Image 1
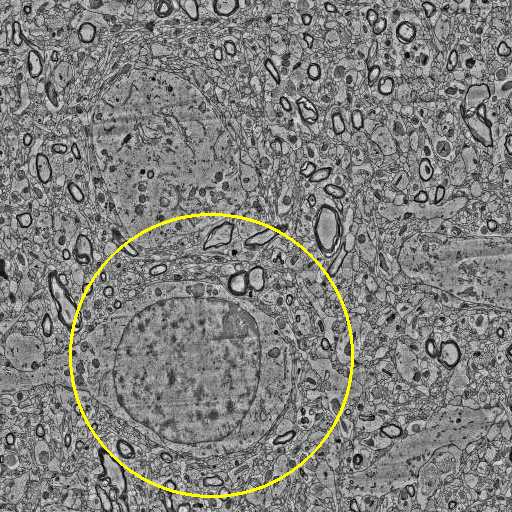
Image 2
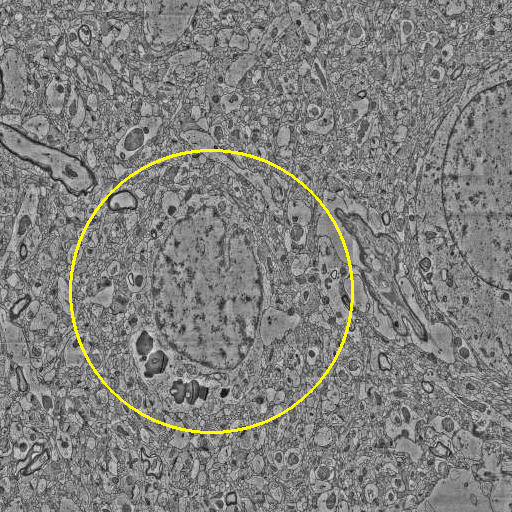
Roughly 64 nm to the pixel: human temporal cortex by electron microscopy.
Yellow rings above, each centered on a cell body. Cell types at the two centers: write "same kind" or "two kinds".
same kind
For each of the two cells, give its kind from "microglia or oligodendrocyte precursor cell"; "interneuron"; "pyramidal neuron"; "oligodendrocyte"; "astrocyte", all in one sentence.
Each of the two rings surrounds an interneuron.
